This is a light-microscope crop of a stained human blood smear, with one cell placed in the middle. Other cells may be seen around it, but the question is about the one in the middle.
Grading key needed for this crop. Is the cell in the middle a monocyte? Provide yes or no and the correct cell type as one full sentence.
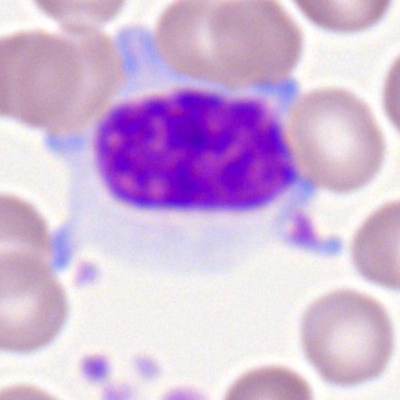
No, the cell sitting in the middle is a lymphocyte, and it is not a monocyte.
